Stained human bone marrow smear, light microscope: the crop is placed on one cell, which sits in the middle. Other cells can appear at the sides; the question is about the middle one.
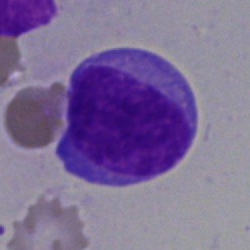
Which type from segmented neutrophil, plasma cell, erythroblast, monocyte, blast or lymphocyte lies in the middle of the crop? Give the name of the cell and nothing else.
blast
